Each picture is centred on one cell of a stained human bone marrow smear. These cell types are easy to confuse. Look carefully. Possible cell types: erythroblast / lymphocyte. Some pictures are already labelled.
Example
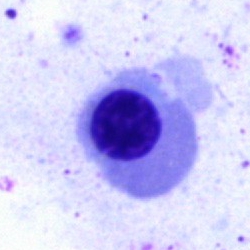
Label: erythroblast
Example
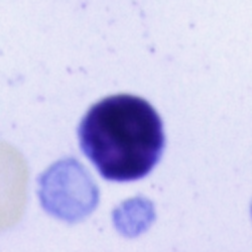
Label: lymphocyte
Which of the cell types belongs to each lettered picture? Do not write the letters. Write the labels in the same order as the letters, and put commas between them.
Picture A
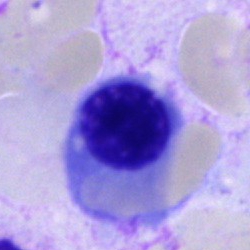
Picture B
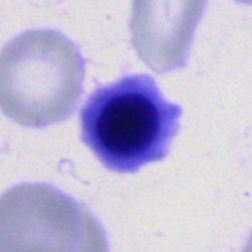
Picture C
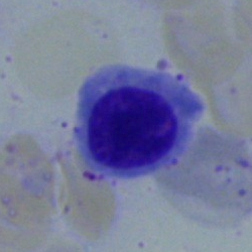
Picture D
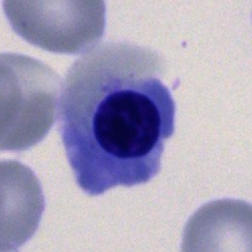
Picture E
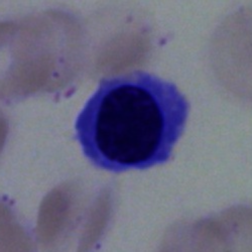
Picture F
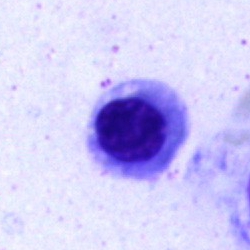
erythroblast, erythroblast, erythroblast, erythroblast, erythroblast, erythroblast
